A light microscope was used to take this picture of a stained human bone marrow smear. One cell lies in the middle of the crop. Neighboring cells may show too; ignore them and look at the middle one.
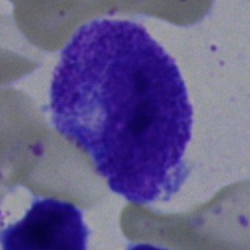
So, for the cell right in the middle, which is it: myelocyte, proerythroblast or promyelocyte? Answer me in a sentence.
Standing at the centre of this crop is a promyelocyte.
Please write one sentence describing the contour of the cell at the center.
Not smooth, the outline of the cell is ragged or drawn out into projections.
